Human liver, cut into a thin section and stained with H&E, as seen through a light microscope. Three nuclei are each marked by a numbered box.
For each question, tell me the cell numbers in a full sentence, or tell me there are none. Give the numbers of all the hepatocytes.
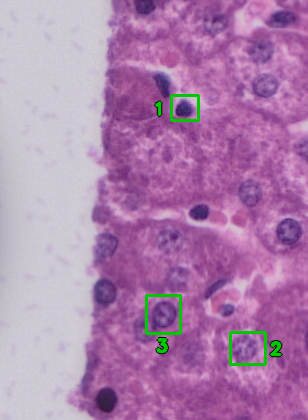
When it comes to cells 2 and 3, they are hepatocytes.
